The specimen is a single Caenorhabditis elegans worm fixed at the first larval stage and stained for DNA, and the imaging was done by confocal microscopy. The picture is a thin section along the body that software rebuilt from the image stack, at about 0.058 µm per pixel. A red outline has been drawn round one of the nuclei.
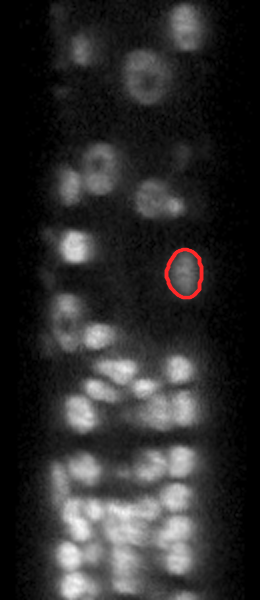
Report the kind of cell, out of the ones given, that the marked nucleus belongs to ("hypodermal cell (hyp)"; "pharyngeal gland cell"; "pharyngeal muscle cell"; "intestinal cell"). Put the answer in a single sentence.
This nucleus is from a hypodermal cell (hyp).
